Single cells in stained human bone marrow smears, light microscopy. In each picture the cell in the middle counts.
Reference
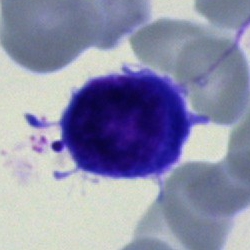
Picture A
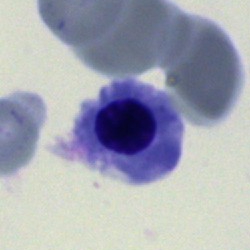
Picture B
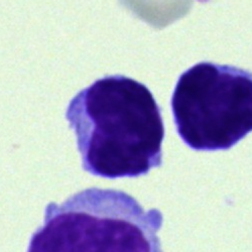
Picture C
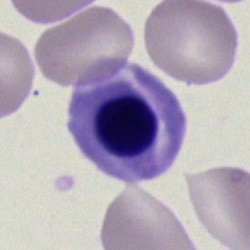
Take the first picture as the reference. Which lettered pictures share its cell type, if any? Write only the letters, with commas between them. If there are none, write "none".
B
